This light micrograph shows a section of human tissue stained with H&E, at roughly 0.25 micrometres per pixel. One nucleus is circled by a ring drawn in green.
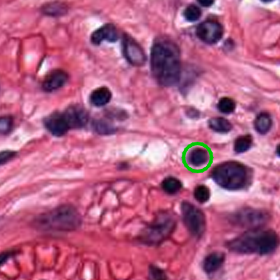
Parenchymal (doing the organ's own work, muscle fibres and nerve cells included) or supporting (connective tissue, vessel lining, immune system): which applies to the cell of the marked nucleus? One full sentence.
The marked nucleus is held by a supporting cell.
